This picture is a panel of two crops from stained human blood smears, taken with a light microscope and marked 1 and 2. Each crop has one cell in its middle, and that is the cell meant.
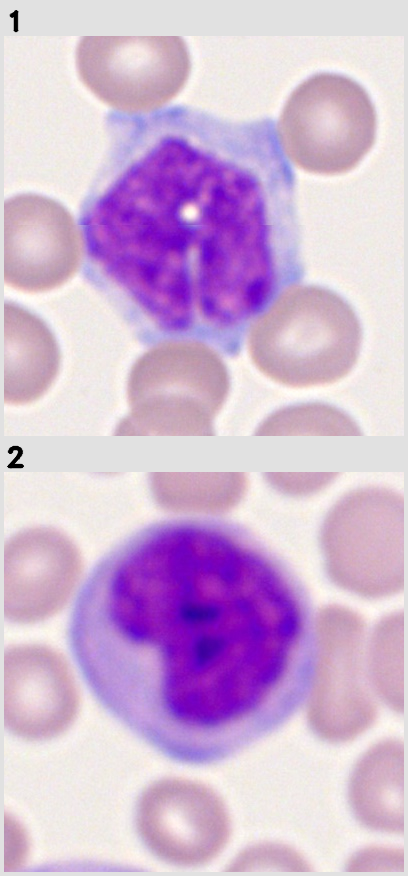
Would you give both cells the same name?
yes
